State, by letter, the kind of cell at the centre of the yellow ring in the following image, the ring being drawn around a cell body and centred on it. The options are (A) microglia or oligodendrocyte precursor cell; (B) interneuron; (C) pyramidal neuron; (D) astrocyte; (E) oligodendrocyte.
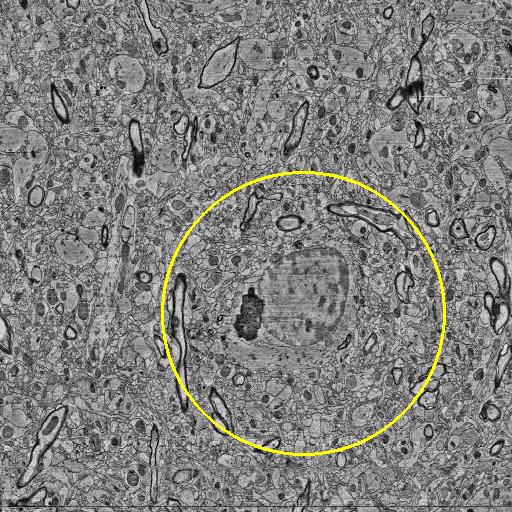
E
